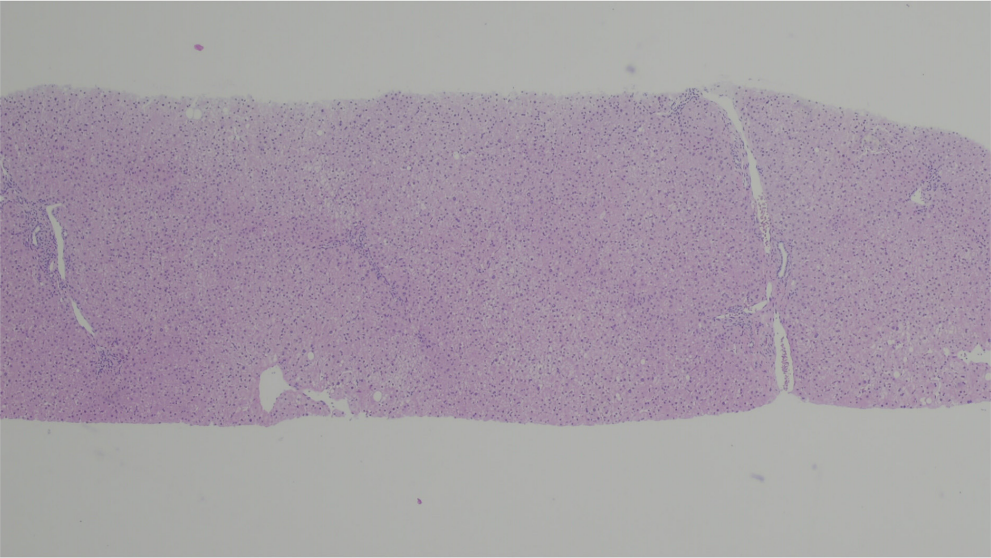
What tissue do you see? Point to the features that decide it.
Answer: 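Liver. Small portal tracts with vessels and inflammatory cells are spaced through the parenchyma.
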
